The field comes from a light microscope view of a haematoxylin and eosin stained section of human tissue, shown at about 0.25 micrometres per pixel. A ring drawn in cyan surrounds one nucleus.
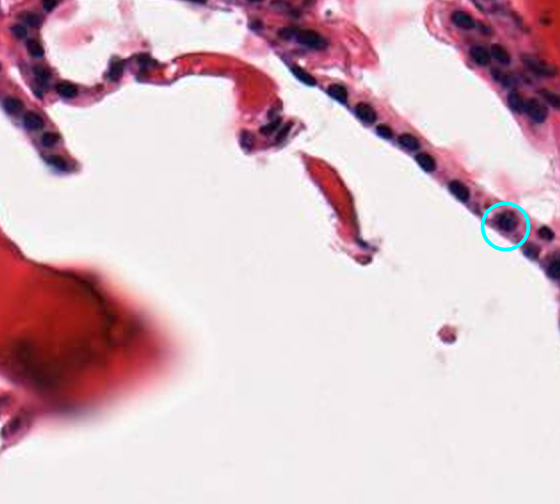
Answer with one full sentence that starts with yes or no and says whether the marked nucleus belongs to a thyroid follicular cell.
Yes, the owner of the marked nucleus is a thyroid follicular cell.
